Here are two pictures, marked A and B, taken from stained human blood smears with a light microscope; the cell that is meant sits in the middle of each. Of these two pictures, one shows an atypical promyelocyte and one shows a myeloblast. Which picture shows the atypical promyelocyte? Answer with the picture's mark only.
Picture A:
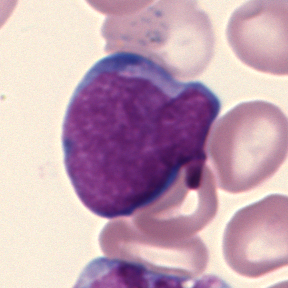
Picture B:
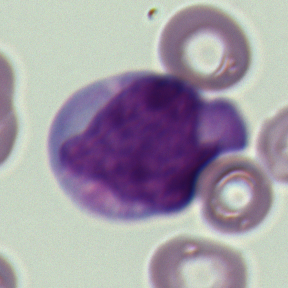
B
